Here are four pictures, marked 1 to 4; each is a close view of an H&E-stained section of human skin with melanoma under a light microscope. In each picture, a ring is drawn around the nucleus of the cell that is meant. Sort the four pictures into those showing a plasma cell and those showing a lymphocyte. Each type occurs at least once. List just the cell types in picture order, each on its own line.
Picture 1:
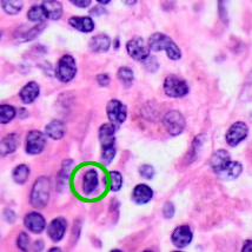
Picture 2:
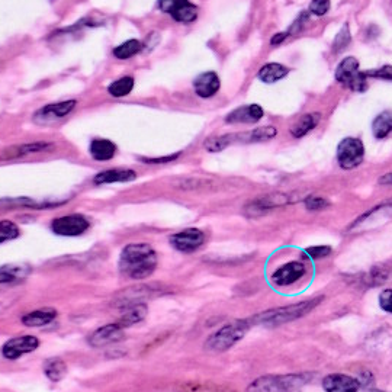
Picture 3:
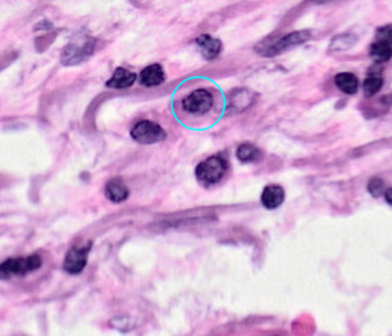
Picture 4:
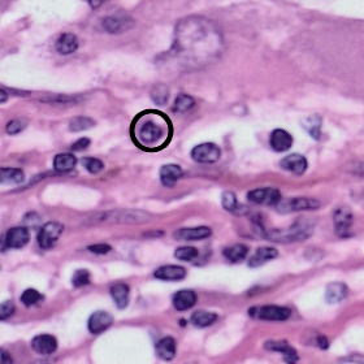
lymphocyte
plasma cell
plasma cell
plasma cell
